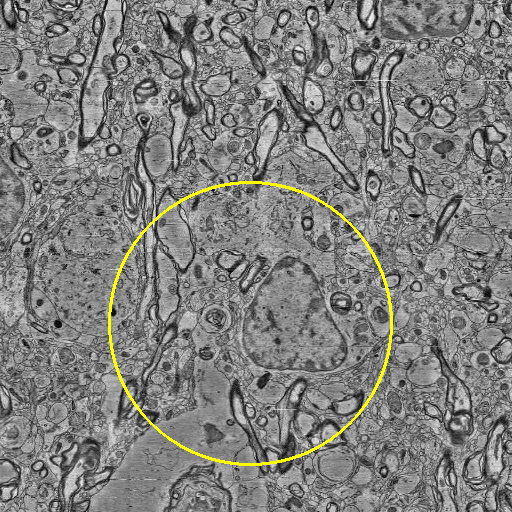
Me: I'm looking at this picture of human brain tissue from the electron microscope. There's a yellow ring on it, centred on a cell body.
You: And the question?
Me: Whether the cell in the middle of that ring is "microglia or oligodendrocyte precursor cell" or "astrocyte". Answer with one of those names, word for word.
microglia or oligodendrocyte precursor cell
